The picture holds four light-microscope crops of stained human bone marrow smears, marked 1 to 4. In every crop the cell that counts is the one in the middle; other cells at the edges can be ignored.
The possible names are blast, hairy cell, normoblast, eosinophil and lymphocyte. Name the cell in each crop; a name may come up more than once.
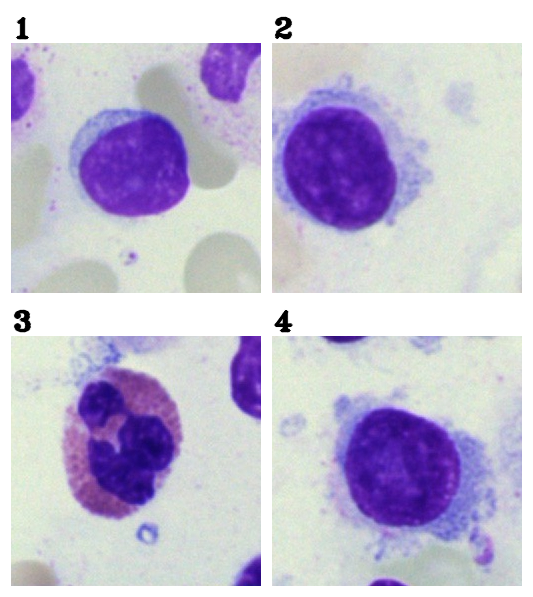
1: lymphocyte
2: hairy cell
3: eosinophil
4: hairy cell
